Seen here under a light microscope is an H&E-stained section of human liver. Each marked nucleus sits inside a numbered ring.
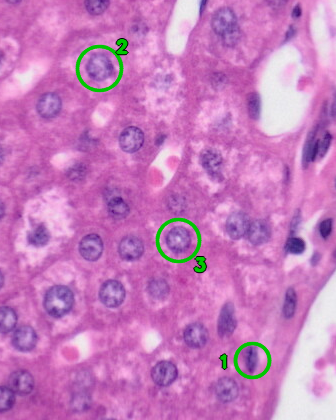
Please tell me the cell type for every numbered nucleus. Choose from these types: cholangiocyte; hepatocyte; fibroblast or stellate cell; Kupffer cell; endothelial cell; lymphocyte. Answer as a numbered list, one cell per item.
1. fibroblast or stellate cell
2. hepatocyte
3. hepatocyte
